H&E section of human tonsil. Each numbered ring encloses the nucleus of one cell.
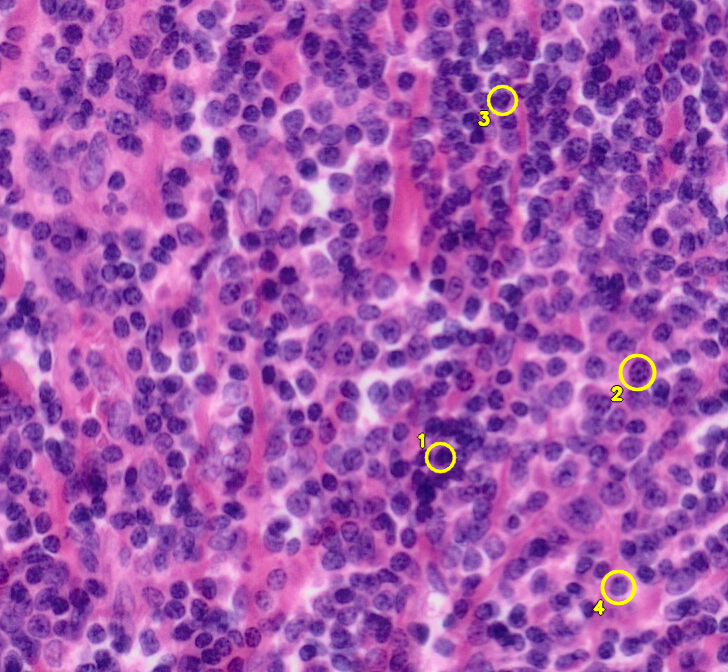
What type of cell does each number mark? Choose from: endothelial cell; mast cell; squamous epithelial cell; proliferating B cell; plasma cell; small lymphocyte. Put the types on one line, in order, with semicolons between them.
small lymphocyte; plasma cell; small lymphocyte; mast cell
